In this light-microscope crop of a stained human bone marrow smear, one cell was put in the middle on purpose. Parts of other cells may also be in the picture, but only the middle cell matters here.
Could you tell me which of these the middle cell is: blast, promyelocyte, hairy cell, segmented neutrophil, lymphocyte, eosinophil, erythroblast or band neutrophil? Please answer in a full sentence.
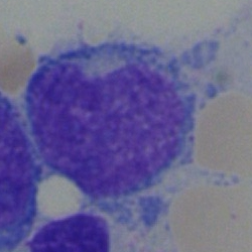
The cell of interest, in the center, is a blast.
